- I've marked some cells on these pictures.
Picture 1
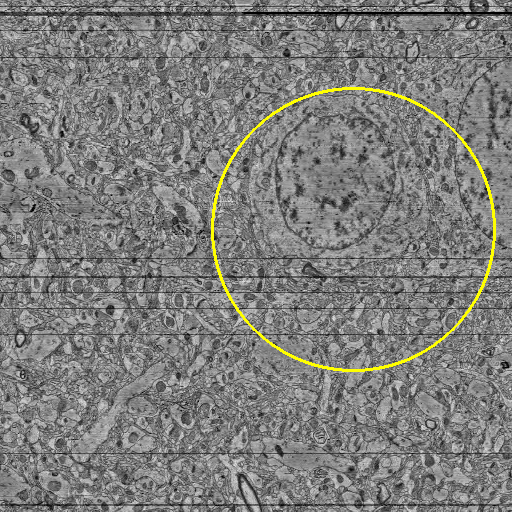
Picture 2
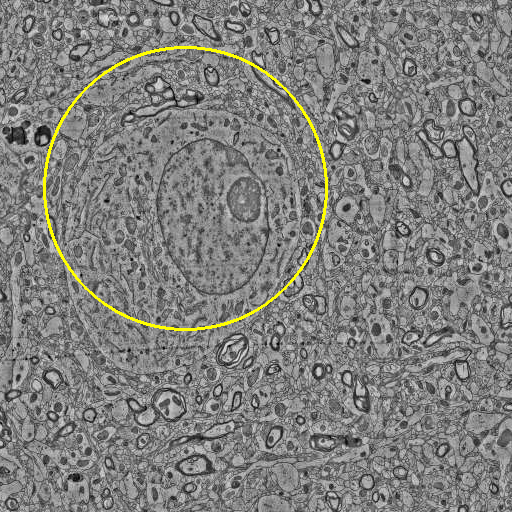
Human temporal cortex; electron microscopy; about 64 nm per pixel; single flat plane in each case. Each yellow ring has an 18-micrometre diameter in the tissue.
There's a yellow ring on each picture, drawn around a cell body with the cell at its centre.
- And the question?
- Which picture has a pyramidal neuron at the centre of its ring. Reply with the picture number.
1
